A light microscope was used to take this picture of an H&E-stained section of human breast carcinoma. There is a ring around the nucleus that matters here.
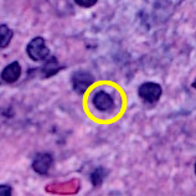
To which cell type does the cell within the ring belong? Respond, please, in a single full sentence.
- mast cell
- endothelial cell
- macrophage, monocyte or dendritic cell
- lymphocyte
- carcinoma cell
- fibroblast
In the tissue under study, the cell within the ring is a lymphocyte.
